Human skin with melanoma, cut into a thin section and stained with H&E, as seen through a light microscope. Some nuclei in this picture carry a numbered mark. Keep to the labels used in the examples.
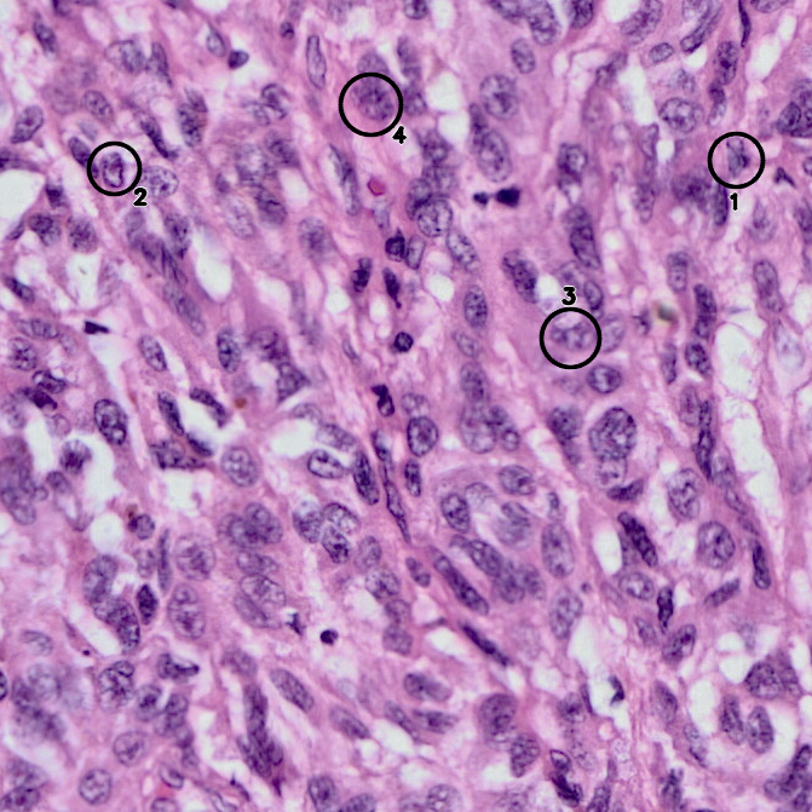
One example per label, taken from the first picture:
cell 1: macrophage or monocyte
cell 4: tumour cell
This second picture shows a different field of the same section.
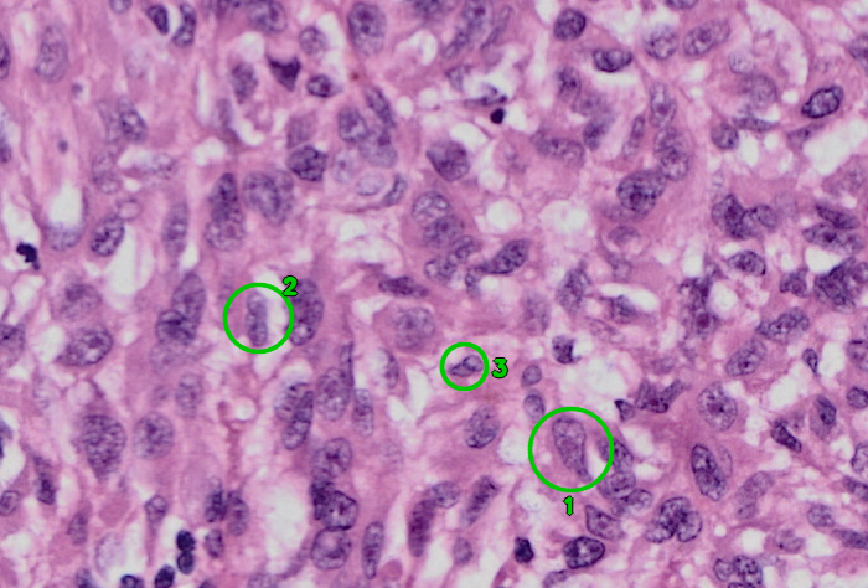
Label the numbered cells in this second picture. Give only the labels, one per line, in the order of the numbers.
tumour cell
tumour cell
macrophage or monocyte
